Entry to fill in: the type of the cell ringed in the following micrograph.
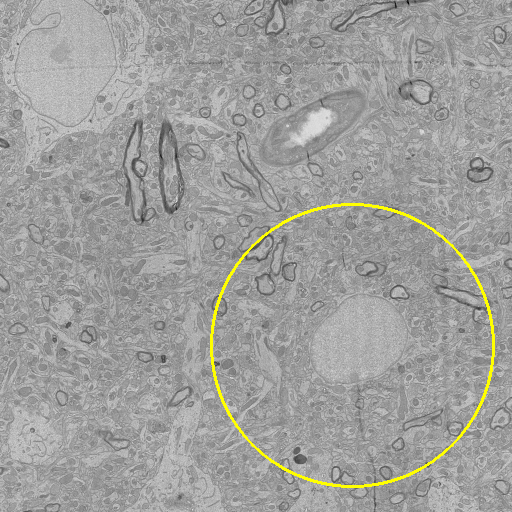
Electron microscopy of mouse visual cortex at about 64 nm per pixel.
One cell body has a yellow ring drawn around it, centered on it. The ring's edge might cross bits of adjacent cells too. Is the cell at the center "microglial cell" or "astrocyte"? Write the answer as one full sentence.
This entry names an astrocyte as the cell whose body lies at the ring's center.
